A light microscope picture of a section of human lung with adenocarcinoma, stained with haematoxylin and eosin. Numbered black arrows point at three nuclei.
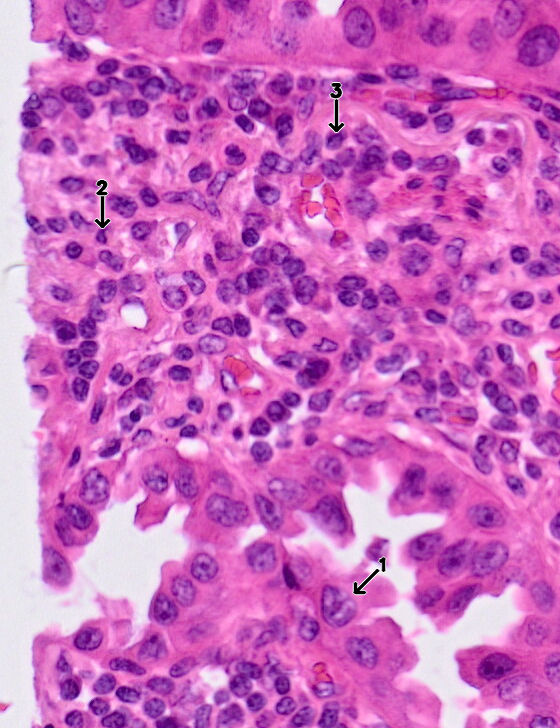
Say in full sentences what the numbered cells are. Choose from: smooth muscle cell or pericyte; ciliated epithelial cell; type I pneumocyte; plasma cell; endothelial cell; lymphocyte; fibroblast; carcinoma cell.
Cell 1 is a carcinoma cell, cell 2 is a lymphocyte and cell 3 is a lymphocyte.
